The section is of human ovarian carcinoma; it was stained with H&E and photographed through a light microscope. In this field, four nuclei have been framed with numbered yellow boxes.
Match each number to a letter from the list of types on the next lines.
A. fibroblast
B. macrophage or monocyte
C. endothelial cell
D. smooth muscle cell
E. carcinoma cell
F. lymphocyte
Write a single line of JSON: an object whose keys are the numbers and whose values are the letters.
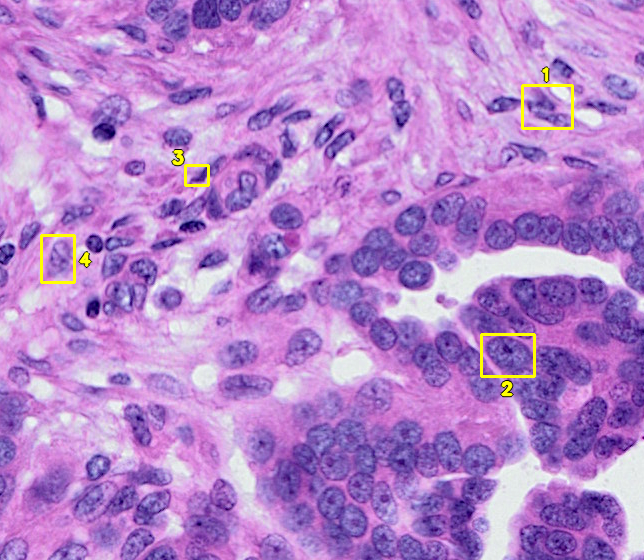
{"1": "A", "2": "E", "3": "A", "4": "A"}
